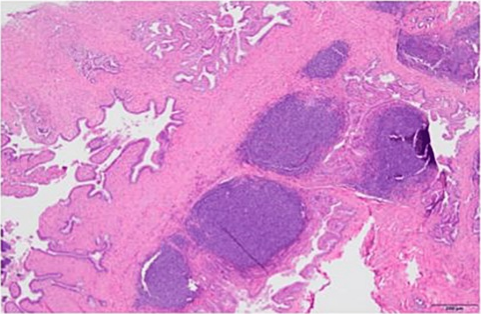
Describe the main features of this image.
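At low magnification, this is gallbladder wall holding several large lymphoid nodules. The mucosa along the left and top edges forms thin, branching folds lined by a single epithelial layer. The wall beneath is made of pink fibromuscular tissue. Within this wall lie several rounded to oval, dark purple nodules of densely packed small cells, some of them close to one another. Such dense lymphoid masses are not a part of normal gallbladder wall.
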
